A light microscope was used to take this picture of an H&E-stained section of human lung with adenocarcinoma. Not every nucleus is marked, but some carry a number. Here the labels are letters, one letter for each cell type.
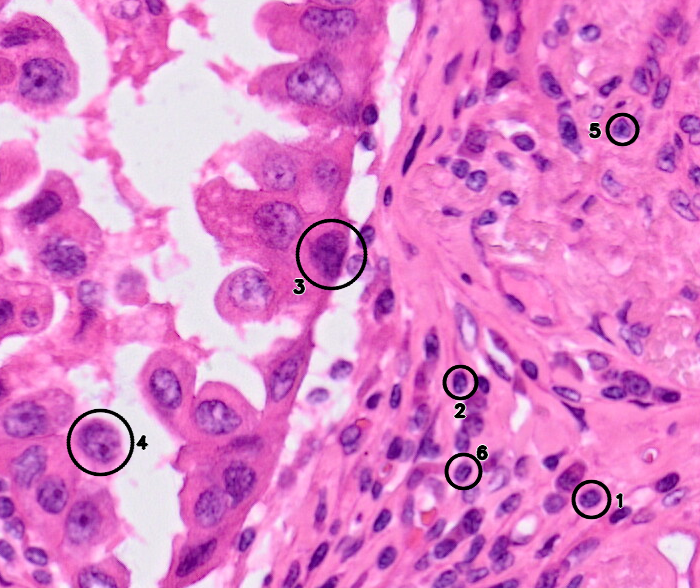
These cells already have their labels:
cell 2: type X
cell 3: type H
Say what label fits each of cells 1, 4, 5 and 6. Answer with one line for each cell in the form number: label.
1: type X
4: type H
5: type X
6: type X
